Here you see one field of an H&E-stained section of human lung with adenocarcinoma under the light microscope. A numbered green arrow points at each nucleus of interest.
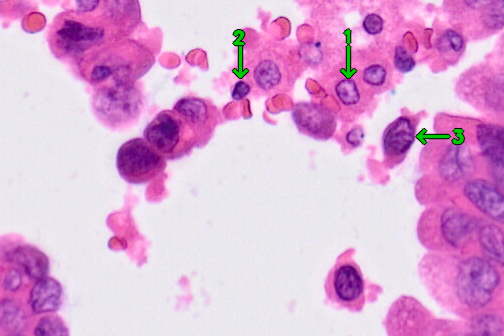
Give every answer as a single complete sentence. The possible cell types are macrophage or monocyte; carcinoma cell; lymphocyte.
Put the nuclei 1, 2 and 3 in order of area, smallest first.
The order from the smallest nucleus to the largest is 2, 1, 3.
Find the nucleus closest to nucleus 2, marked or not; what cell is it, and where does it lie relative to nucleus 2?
Lying above and to the right of nucleus 2, the nearest nucleus is that of a macrophage or monocyte.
